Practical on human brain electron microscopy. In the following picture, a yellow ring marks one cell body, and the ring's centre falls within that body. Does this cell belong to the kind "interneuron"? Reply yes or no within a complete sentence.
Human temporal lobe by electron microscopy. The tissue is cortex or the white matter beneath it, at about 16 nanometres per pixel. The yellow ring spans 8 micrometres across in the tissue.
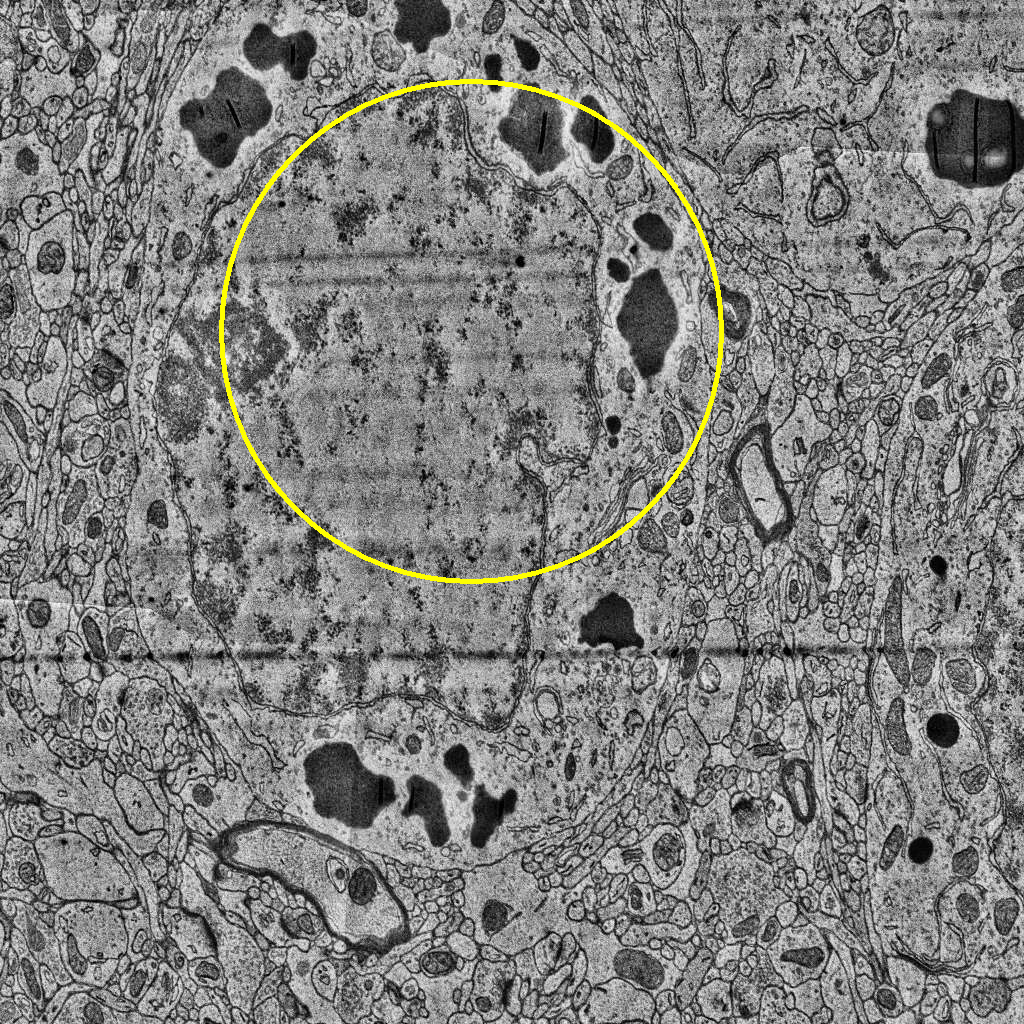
Yes, the one cell holding the centre of the ring here is of that kind.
